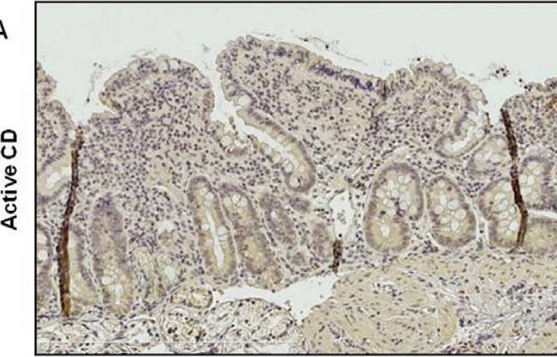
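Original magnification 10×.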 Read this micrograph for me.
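This is small intestinal mucosa whose surface is broad and flattened, without tall slender villi, with crypts extending down beneath it. The crypts are elongated tubular glands lined by columnar epithelium containing many pale, rounded goblet cells. The lamina propria between the crypts is crowded with small dark nuclei. The epithelium is only faintly tinted brown, and bundles of pink-beige smooth muscle lie at the bottom of the section.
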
